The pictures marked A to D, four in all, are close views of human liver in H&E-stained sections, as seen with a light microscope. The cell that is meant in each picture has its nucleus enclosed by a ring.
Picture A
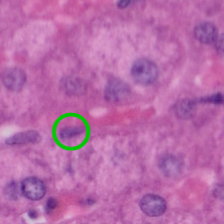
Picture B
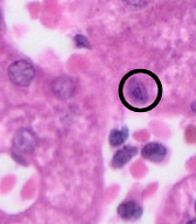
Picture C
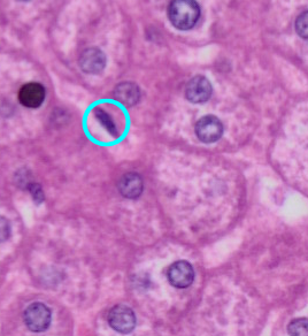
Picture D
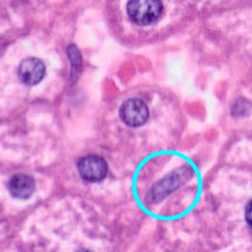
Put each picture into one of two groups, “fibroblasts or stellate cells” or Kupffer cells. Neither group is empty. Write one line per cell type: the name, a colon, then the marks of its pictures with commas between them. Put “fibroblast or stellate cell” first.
fibroblast or stellate cell: A, B
Kupffer cell: C, D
